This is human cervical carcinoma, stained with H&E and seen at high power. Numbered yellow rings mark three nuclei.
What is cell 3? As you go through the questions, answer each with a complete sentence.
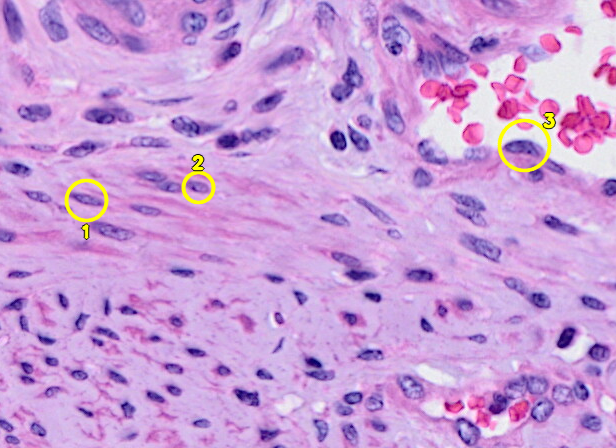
The marked nucleus 3 is that of an endothelial cell.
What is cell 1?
Within this field of view, the cell labelled 1 is a smooth muscle cell.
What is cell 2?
The cell indicated with the number 2 is classed as a smooth muscle cell.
